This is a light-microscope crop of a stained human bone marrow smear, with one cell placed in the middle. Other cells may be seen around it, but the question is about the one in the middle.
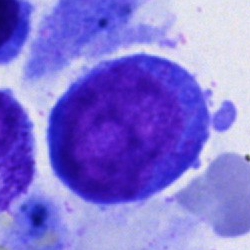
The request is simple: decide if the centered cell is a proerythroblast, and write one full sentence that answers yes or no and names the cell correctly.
Yes, the cell found in the center of the crop is a proerythroblast.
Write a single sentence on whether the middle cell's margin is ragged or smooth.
Happy to help: the outline is smooth and shows no projections.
